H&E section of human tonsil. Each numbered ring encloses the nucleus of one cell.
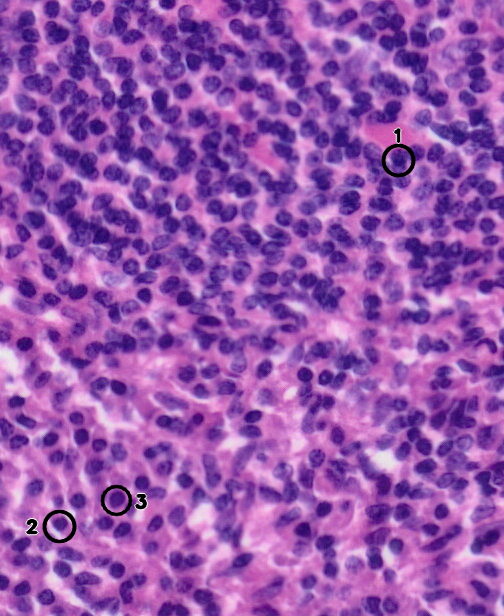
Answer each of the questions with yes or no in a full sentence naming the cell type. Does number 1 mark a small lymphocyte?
Yes. The cell carrying number 1 is a small lymphocyte.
